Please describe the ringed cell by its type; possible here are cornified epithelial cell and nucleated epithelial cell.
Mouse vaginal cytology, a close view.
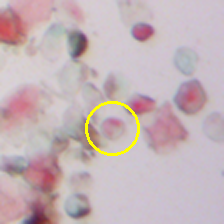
The yellow ring marks a nucleated epithelial cell.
